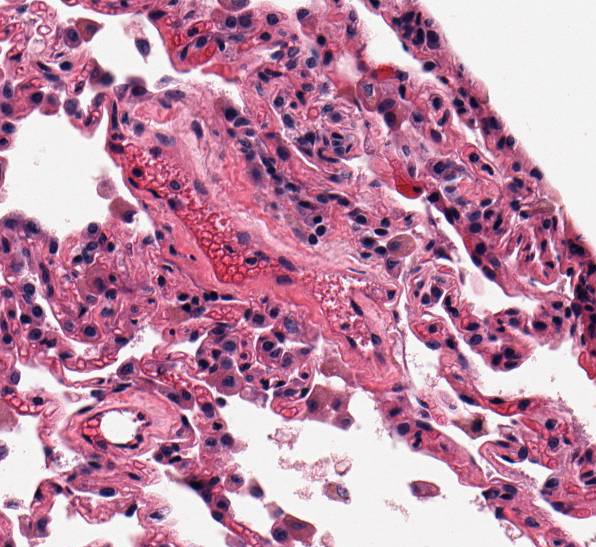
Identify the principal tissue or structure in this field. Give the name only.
alveolus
